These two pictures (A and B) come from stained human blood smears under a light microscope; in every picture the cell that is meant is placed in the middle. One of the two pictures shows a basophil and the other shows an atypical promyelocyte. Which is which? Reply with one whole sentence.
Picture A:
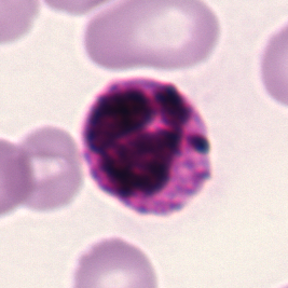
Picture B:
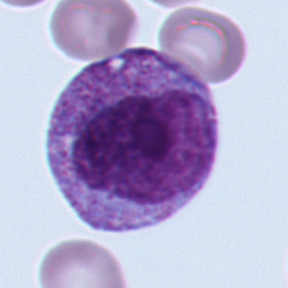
Picture A is of a basophil, and picture B is of an atypical promyelocyte.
